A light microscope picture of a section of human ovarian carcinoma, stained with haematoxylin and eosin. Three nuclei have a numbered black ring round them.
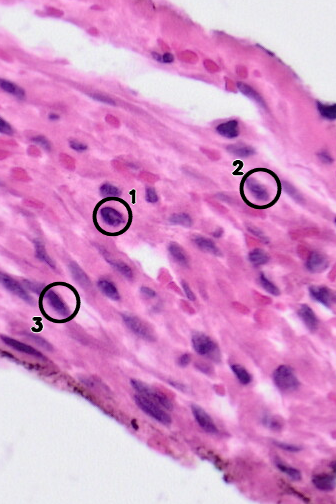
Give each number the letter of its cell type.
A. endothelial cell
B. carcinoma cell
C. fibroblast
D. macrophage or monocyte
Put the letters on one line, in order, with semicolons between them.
D; C; C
